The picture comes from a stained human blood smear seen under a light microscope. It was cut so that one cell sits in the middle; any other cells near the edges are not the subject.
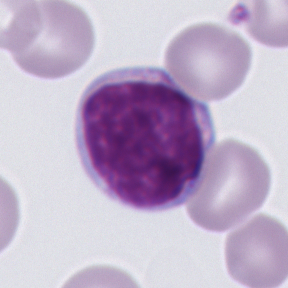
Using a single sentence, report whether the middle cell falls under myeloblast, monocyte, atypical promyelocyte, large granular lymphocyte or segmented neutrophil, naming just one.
This crop has a large granular lymphocyte at its centre.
